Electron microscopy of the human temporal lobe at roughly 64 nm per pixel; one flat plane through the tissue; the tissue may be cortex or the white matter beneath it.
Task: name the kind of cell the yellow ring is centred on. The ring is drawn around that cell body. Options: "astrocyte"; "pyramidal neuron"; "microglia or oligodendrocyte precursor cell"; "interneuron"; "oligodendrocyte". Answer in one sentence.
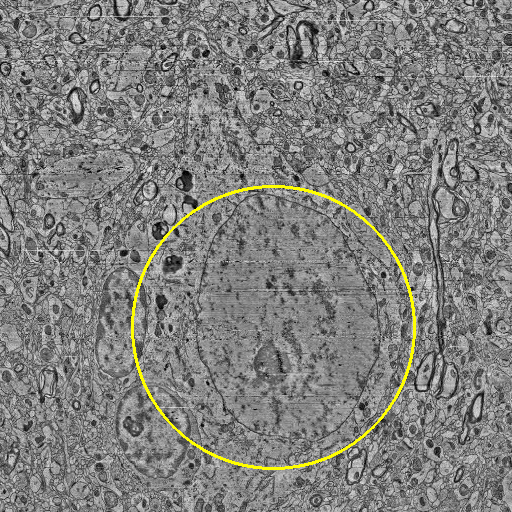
This cell body belongs to a pyramidal neuron.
